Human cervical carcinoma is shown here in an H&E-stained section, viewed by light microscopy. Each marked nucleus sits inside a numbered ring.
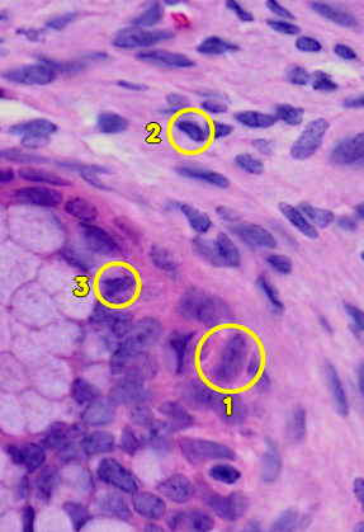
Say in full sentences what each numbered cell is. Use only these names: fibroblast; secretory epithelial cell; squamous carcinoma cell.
Cells 1 and 3 are secretory epithelial cells. Cell 2 is a fibroblast.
